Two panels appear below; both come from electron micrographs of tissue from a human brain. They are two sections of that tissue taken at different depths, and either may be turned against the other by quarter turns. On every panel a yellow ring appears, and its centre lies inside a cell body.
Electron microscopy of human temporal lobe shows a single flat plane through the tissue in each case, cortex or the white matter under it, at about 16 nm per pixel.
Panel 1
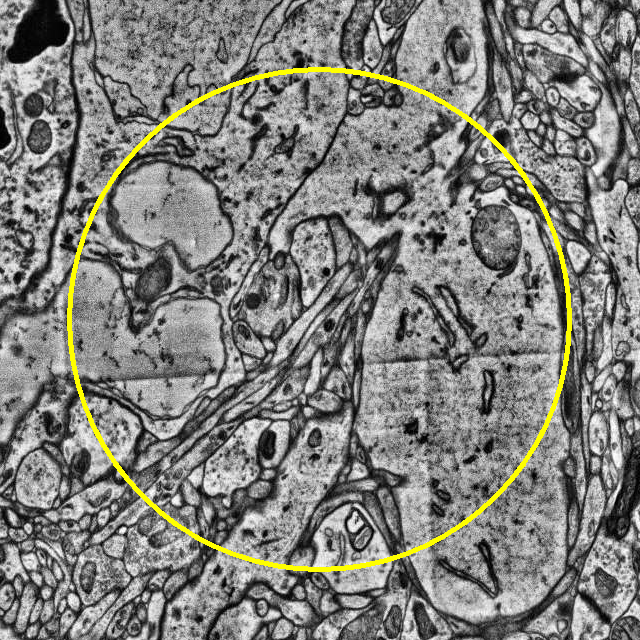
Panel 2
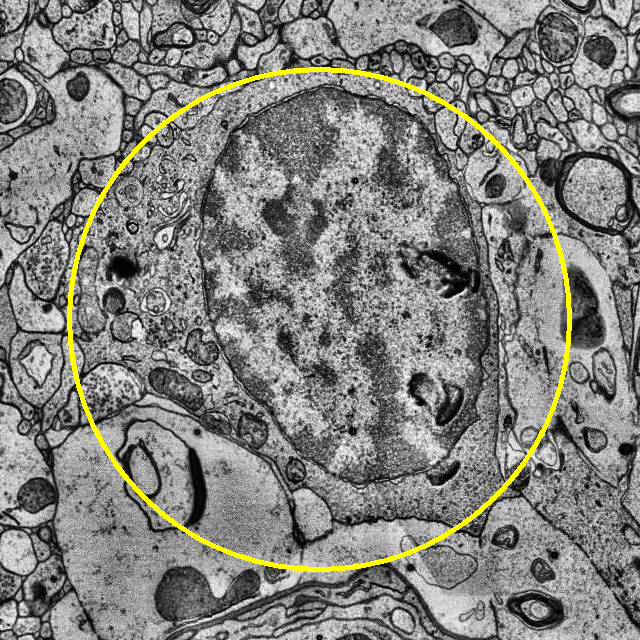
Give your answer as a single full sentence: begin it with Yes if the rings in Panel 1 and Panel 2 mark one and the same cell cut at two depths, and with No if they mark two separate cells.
No, the first ring and the second ring mark different cells.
